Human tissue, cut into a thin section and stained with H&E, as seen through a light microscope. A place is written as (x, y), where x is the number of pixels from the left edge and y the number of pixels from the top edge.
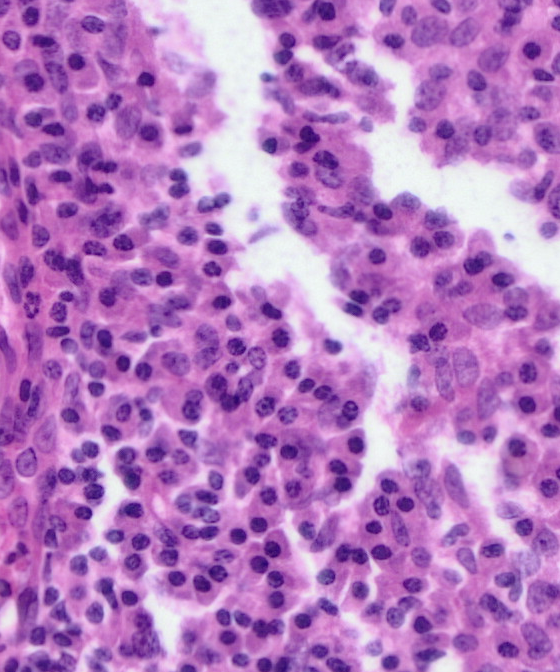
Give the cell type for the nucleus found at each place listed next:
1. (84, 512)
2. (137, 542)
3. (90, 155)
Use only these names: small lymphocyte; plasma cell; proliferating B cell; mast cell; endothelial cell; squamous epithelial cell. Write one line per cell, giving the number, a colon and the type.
1: plasma cell
2: plasma cell
3: squamous epithelial cell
